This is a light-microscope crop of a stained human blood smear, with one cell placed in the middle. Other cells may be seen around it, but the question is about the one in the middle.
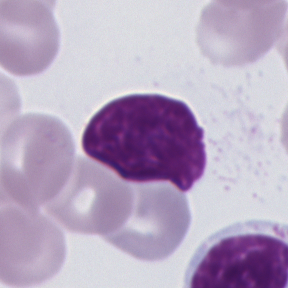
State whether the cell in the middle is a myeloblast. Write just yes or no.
no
